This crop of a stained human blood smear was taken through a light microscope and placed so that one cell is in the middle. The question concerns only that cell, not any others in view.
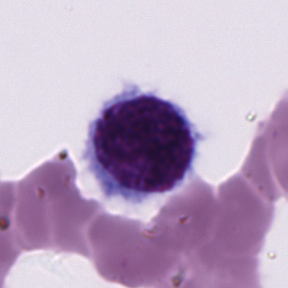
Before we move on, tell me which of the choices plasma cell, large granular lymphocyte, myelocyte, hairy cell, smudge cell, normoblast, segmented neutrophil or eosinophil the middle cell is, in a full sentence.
The cell at the heart of this crop is a hairy cell.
